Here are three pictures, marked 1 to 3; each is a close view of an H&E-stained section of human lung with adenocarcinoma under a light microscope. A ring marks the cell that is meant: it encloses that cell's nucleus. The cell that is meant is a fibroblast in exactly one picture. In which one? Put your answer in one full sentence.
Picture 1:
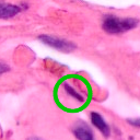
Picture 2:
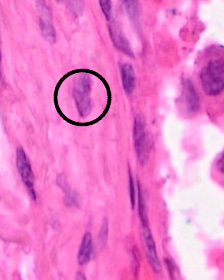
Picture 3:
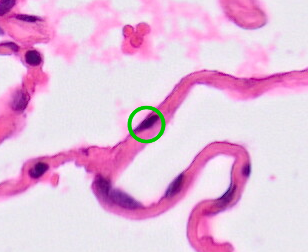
The picture with the fibroblast is 2.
